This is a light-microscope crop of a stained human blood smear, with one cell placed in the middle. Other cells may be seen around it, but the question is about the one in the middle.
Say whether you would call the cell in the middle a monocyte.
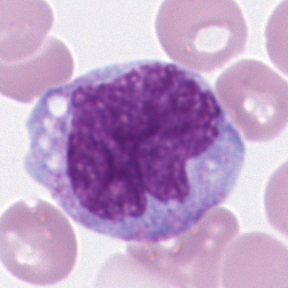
yes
